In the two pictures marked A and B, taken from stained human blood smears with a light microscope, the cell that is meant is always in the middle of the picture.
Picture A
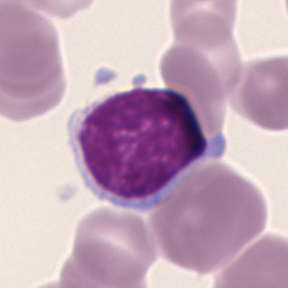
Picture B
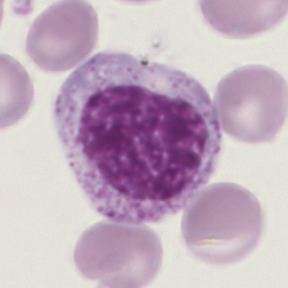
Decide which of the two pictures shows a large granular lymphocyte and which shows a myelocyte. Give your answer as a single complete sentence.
It is picture A that shows a large granular lymphocyte, and picture B that shows a myelocyte.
